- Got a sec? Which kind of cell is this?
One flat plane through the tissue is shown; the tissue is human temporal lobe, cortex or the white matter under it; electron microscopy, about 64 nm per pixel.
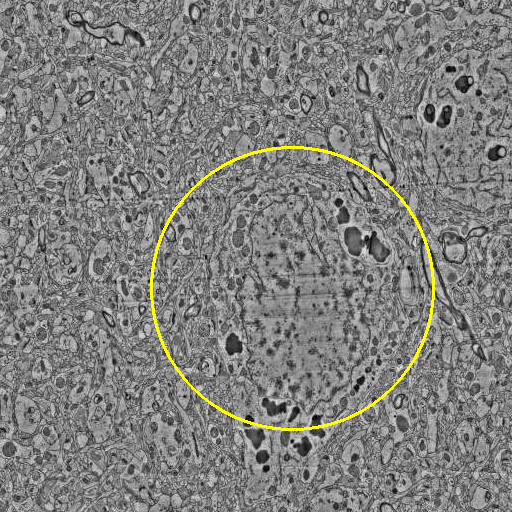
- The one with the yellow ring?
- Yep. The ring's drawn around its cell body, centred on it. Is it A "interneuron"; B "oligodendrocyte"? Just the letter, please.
A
